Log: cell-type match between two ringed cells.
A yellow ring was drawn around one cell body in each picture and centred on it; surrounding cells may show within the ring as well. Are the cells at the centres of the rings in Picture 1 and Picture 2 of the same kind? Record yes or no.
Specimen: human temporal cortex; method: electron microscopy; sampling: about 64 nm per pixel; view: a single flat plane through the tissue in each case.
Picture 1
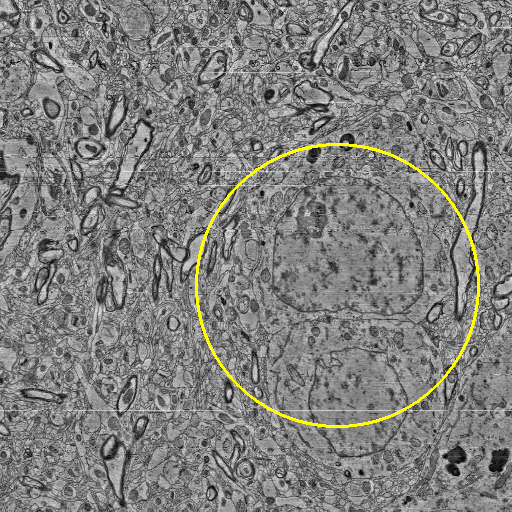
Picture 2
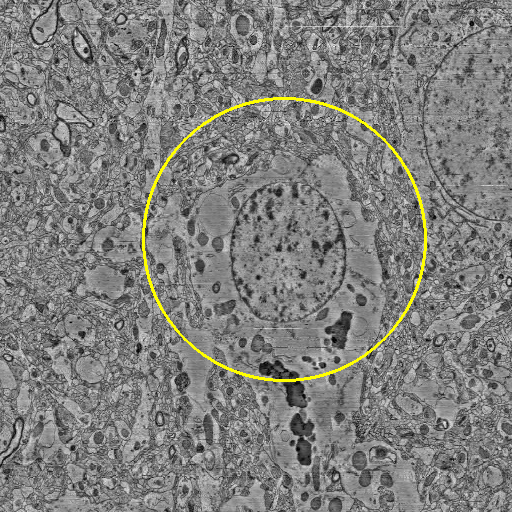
no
